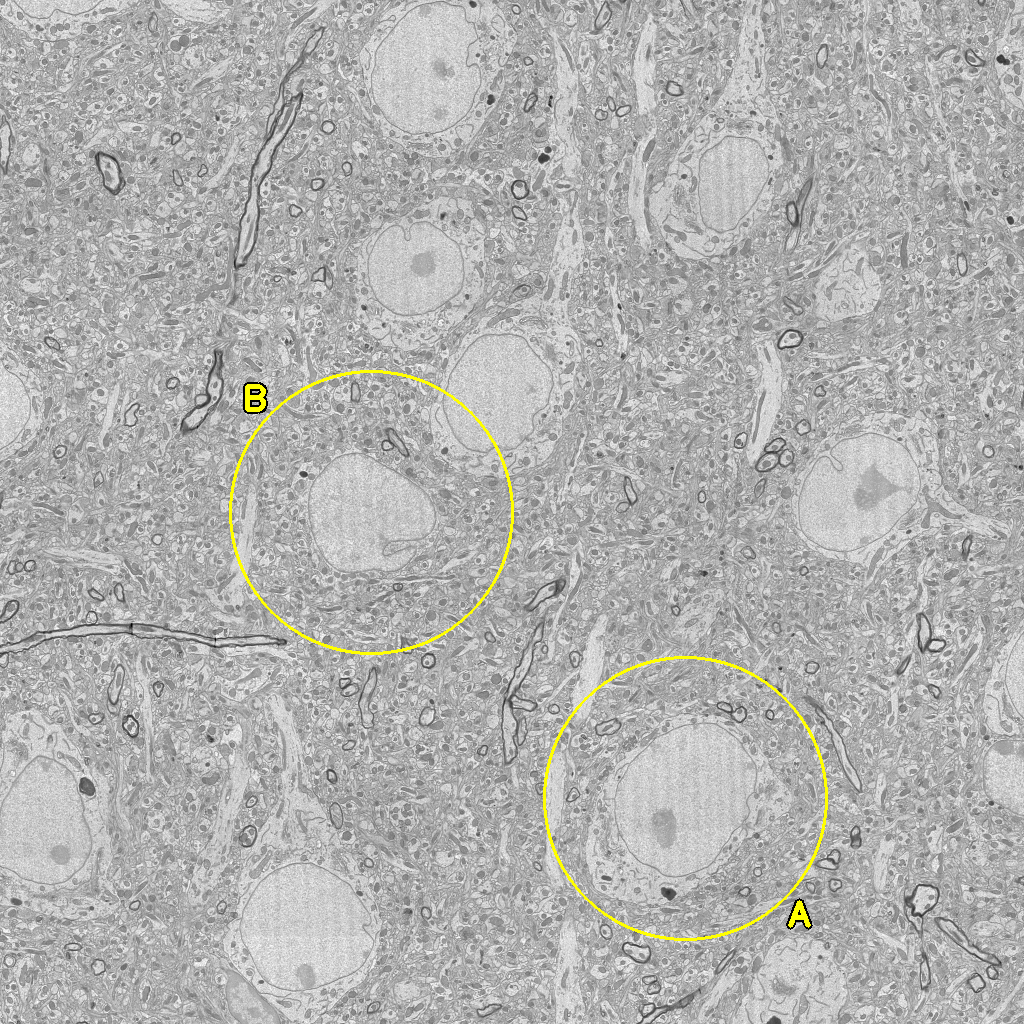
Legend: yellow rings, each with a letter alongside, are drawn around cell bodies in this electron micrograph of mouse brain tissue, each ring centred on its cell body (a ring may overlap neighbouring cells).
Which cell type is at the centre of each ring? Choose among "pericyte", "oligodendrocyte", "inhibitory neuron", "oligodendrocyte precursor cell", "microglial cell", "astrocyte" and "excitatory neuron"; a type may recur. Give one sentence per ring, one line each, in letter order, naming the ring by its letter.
Ring A has an excitatory neuron at its centre.
Ring B has an astrocyte at its centre.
